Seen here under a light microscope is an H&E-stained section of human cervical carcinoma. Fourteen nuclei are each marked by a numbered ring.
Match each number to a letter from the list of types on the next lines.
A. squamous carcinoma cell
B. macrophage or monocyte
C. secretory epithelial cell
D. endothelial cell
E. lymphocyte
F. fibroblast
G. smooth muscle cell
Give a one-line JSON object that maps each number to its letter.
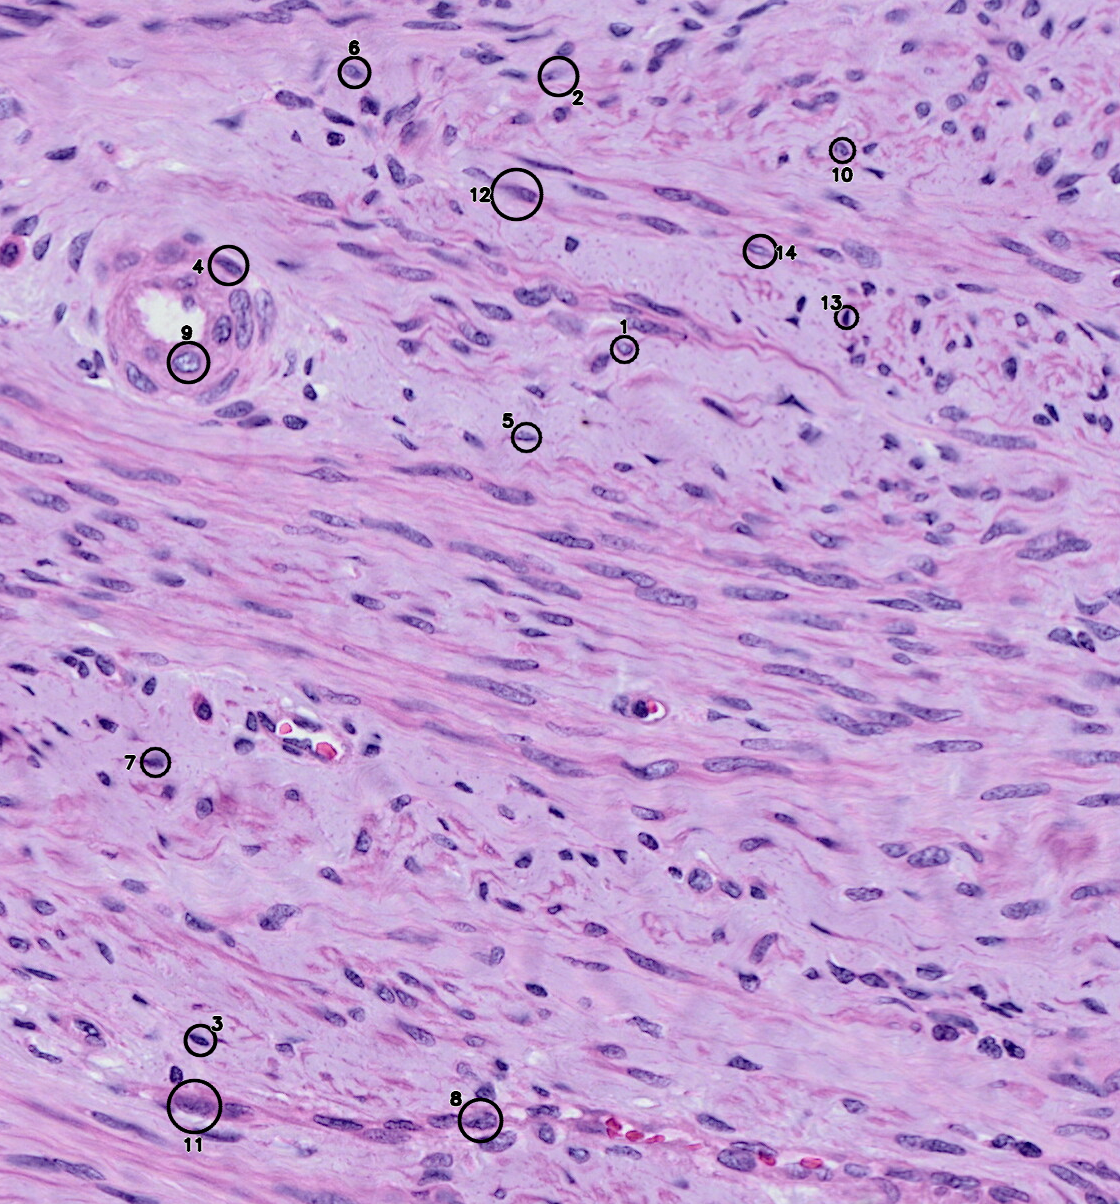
{"1": "G", "2": "G", "3": "F", "4": "G", "5": "F", "6": "F", "7": "F", "8": "D", "9": "G", "10": "G", "11": "D", "12": "G", "13": "G", "14": "G"}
